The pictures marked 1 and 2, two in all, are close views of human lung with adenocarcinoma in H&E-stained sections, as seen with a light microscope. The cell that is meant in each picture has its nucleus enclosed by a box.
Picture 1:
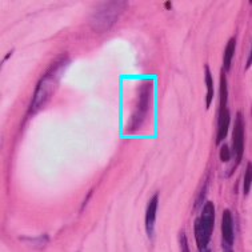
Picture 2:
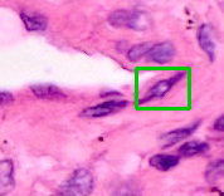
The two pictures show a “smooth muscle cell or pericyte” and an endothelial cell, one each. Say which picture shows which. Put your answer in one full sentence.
In picture 1 the cell is an endothelial cell; in picture 2, a “smooth muscle cell or pericyte”.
